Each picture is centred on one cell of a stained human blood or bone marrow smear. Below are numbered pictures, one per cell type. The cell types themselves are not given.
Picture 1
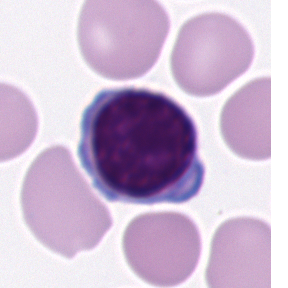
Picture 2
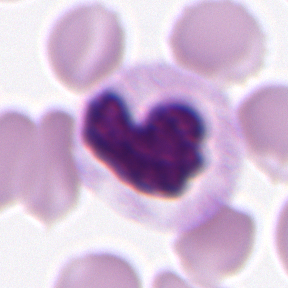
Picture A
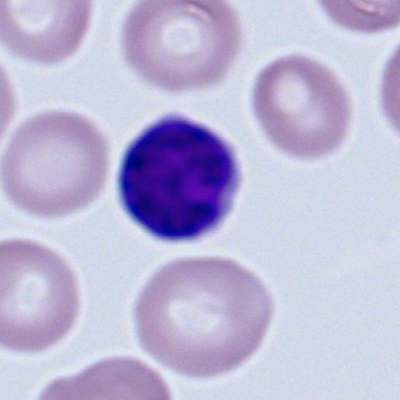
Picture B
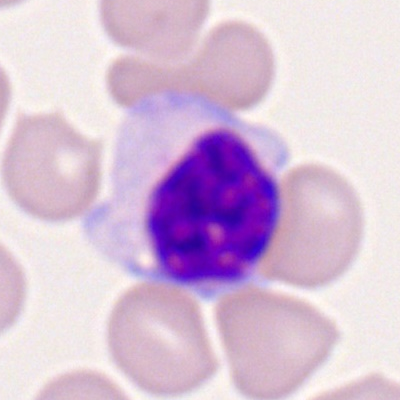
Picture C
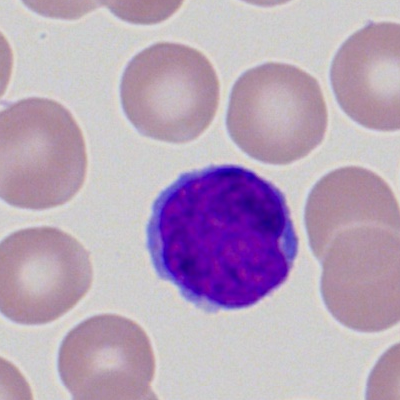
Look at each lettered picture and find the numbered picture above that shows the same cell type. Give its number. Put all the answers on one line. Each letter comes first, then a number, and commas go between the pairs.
A 1, B 1, C 1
